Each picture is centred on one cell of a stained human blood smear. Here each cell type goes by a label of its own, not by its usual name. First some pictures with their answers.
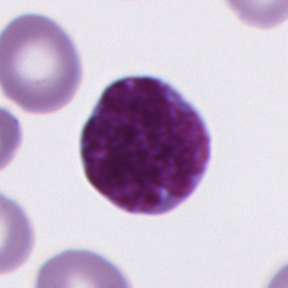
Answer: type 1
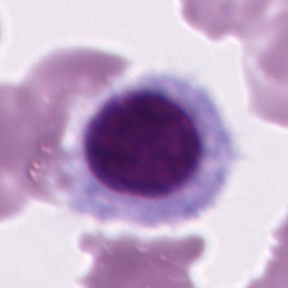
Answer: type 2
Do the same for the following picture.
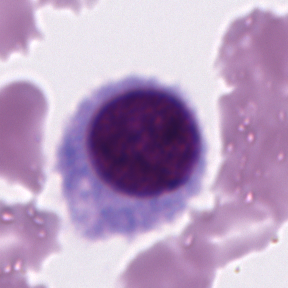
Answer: type 2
